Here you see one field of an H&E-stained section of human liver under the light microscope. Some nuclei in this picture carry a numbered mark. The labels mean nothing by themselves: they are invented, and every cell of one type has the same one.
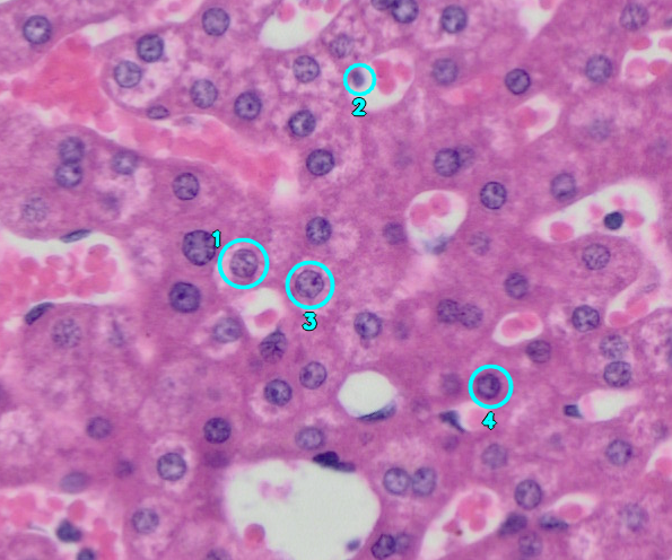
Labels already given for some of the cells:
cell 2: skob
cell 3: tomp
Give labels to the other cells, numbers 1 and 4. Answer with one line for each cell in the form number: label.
1: tomp
4: tomp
